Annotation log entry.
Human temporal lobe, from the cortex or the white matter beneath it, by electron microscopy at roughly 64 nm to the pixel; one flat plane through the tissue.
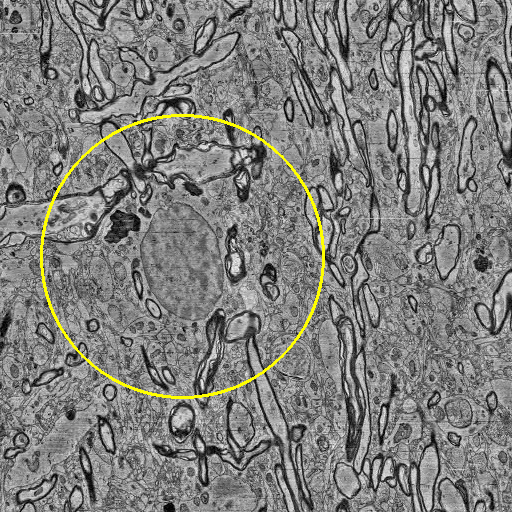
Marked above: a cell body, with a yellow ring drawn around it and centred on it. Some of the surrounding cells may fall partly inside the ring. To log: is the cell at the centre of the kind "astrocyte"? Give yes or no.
No, the cell at the centre is of another kind.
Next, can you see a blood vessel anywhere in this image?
No.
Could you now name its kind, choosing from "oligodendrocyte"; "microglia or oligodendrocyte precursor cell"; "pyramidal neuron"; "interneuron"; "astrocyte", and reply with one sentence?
As it turns out, the cell at the ring centre is an oligodendrocyte.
